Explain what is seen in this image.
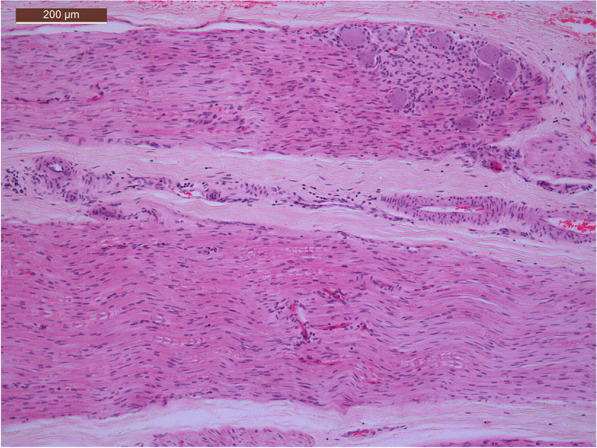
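Here nerve bundles run horizontally as wavy pink fibres with many spindle-shaped nuclei, and a small group of large round ganglion cells with pale pink cytoplasm sits at the upper right of the top bundle. Between the bundles lies loose pale connective tissue carrying small blood vessels with red blood cells.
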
